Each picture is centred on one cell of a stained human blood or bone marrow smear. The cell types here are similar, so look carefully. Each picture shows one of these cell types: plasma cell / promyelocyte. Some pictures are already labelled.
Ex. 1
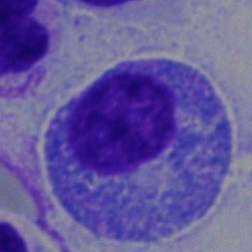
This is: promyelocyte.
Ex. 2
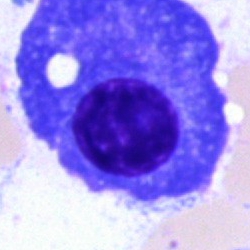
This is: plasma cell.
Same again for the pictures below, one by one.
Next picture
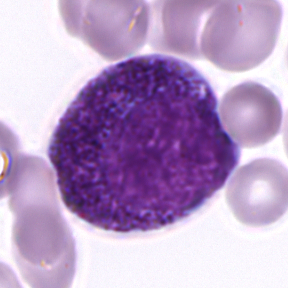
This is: promyelocyte.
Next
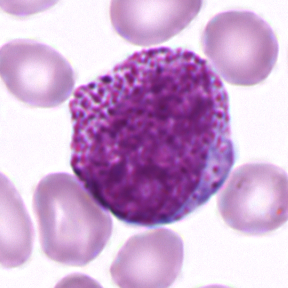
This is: promyelocyte.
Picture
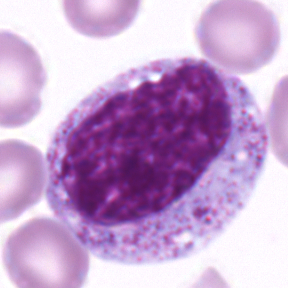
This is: promyelocyte.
